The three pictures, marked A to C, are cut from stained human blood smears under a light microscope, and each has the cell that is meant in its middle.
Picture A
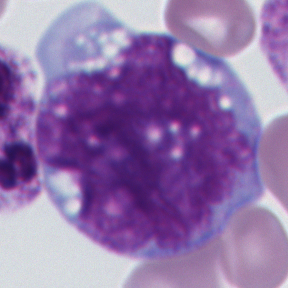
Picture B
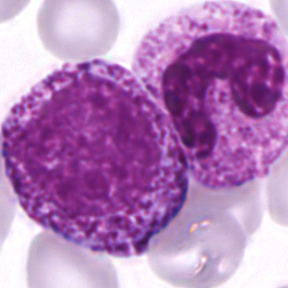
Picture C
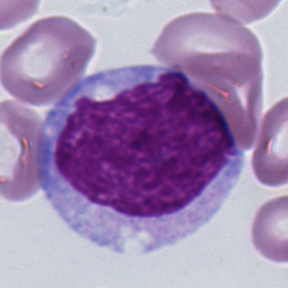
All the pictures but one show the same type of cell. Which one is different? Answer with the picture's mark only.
B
